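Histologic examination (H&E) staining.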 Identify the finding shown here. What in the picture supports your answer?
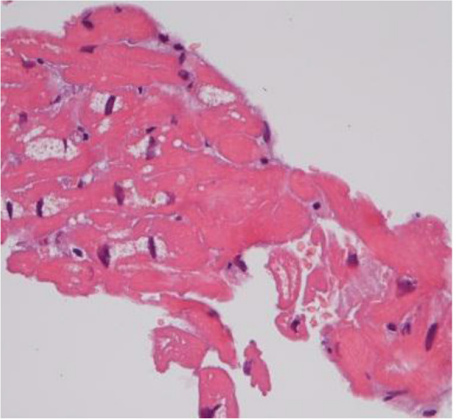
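Many muscle fibres contain clear, pale spaces with lacy contents. Clear spaces lie next to the dark nuclei and within the pink cytoplasm. That points to this answer: large perinuclear and sarcoplasmic vacuoles.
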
